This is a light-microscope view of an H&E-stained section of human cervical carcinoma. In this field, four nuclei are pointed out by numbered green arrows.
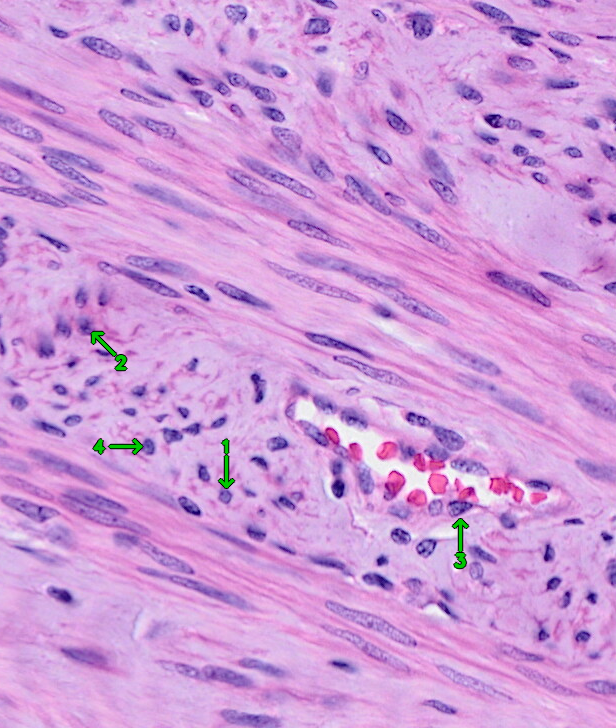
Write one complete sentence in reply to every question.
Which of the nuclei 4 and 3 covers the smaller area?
It is nucleus 4; nucleus 3 has about 2 times its area.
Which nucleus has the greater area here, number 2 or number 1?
Nucleus 2 is larger, with an area about 1.5 times that of nucleus 1.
